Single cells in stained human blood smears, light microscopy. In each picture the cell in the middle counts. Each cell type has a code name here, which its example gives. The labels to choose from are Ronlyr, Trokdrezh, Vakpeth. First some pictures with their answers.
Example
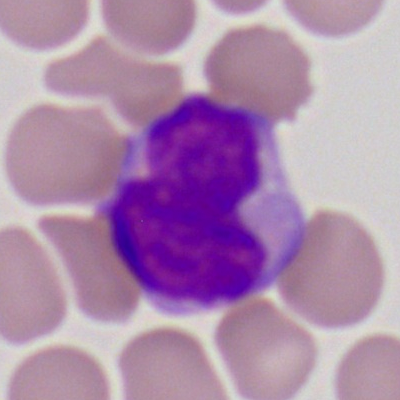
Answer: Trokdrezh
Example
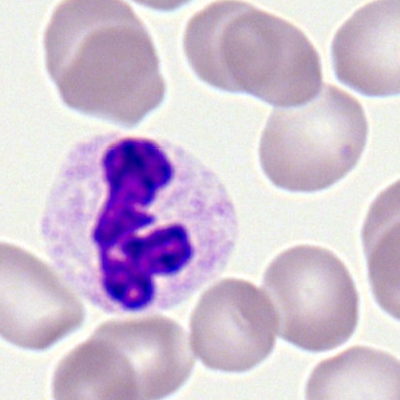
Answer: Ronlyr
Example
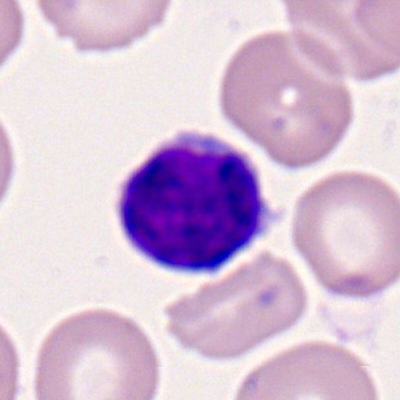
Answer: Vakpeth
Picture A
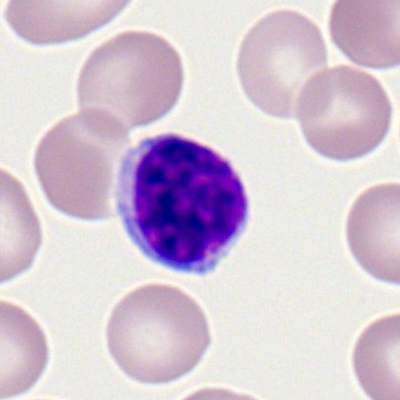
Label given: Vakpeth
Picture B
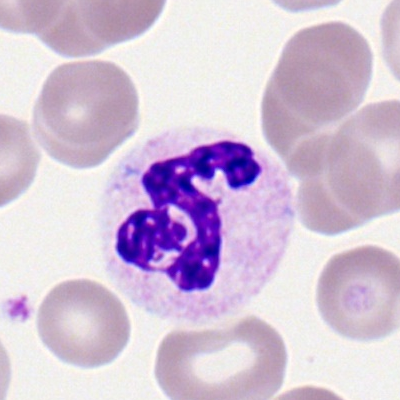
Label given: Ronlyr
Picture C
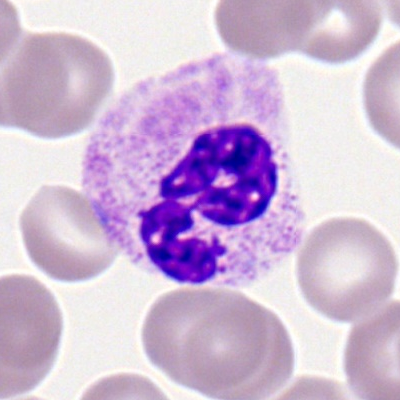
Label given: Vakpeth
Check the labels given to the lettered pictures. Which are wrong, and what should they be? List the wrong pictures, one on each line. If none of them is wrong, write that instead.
C is labelled Vakpeth; correct label: Ronlyr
